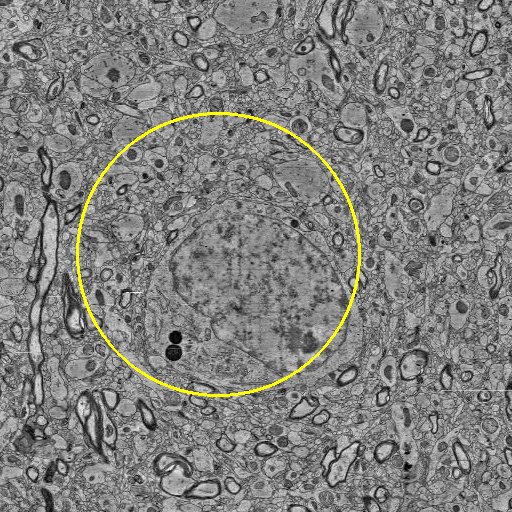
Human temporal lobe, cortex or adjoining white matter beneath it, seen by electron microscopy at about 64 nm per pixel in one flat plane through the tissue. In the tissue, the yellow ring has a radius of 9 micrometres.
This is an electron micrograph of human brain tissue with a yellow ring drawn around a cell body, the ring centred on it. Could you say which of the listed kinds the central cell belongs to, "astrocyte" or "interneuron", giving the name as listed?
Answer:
interneuron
